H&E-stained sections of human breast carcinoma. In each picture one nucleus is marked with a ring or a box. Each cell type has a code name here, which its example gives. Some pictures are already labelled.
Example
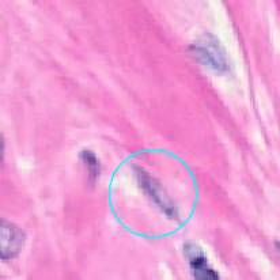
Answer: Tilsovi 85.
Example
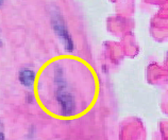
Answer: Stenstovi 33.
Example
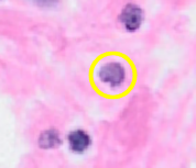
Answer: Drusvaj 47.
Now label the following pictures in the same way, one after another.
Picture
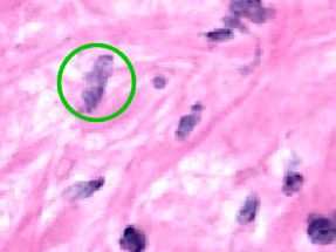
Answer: Tilsovi 85.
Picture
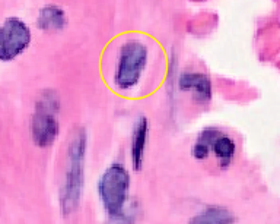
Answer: Drusvaj 47.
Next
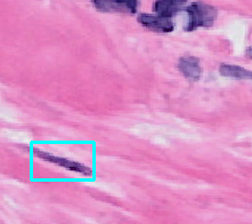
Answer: Tilsovi 85.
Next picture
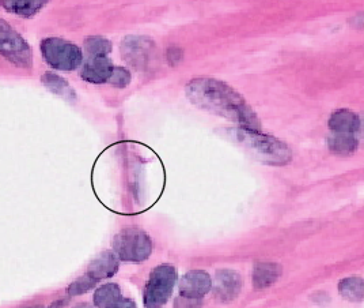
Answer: Stenstovi 33.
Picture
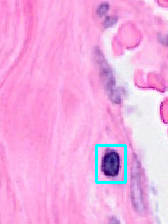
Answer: Drusvaj 47.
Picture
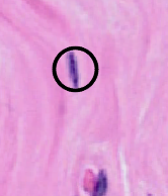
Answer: Tilsovi 85.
